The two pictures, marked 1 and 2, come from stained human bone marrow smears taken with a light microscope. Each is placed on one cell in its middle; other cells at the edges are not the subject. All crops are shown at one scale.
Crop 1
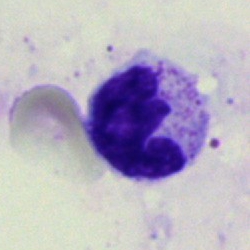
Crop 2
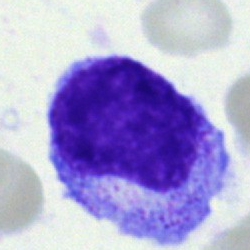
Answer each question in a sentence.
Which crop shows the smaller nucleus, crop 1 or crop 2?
Smaller is the nucleus in crop 1, and the other is about 2 times as large in area.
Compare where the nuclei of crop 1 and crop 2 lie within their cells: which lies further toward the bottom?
Seen within its cell, the nucleus in crop 1 lies further toward the bottom.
